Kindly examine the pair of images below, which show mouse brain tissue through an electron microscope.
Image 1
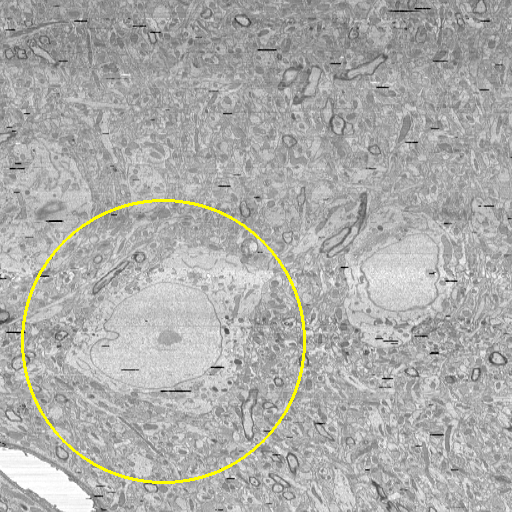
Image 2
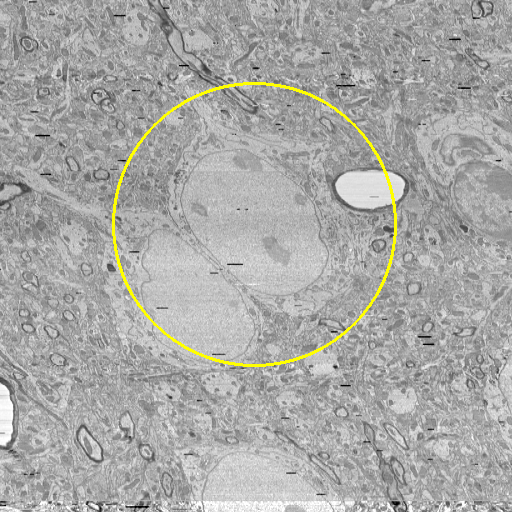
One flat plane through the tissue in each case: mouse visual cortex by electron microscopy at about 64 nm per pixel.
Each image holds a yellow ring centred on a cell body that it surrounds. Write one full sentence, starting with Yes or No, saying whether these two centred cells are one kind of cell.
Yes, both cells at the centres of the yellow rings belong to one kind of cell.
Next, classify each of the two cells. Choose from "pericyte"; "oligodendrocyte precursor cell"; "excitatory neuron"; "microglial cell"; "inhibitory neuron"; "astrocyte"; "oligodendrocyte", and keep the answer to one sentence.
Each cell at the centre of a ring is an excitatory neuron.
